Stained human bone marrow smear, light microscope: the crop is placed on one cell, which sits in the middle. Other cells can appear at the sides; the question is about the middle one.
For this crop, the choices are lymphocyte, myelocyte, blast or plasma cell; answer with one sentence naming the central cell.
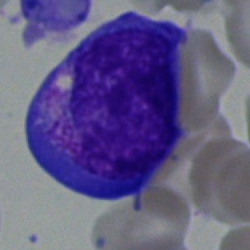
Regarding the central cell, it is a blast.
